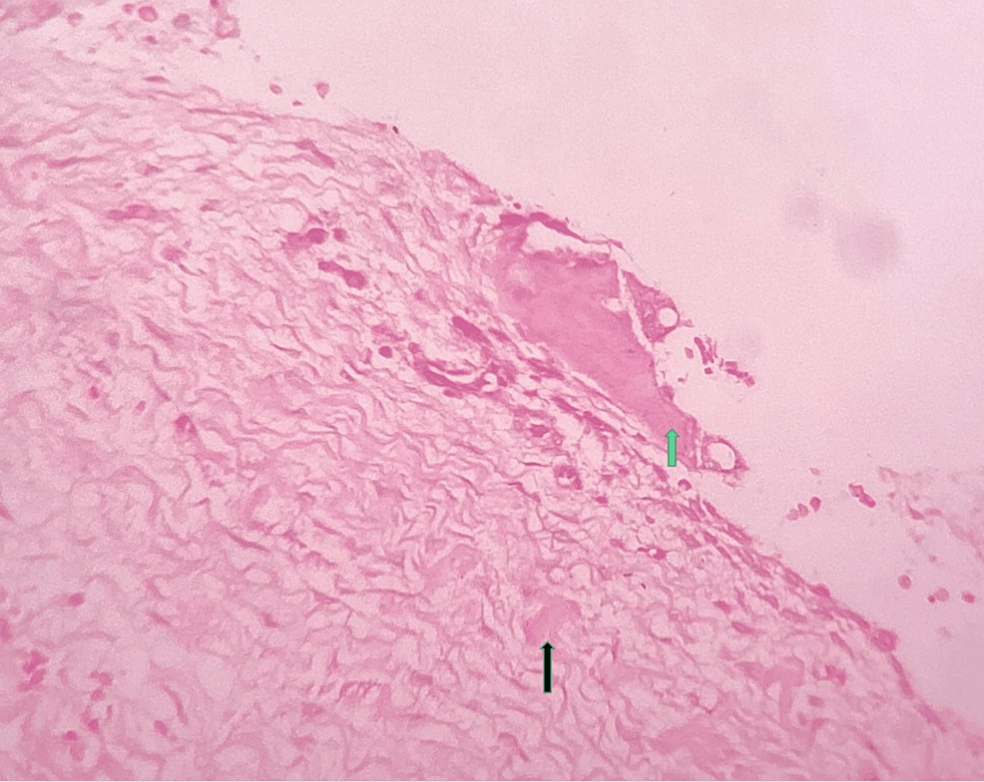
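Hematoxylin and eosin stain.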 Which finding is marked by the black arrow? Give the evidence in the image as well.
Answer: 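Hyalinized areas. The black arrow points to a small smooth, glassy pink patch within the wavy fibrillary stroma.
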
